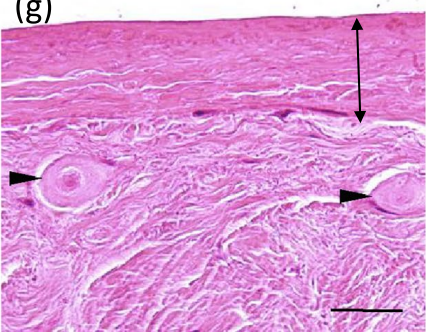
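The surface is lined by a broad, homogeneous pink band with very few nuclei, separated from the tissue below by a thin line with a few flattened dark nuclei. Below lies dense fibrous tissue of wavy pink collagen bundles with sparse nuclei. Small vessels within it have thick concentric pink walls and very narrow lumens. No lining layer of surface cells is evident.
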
